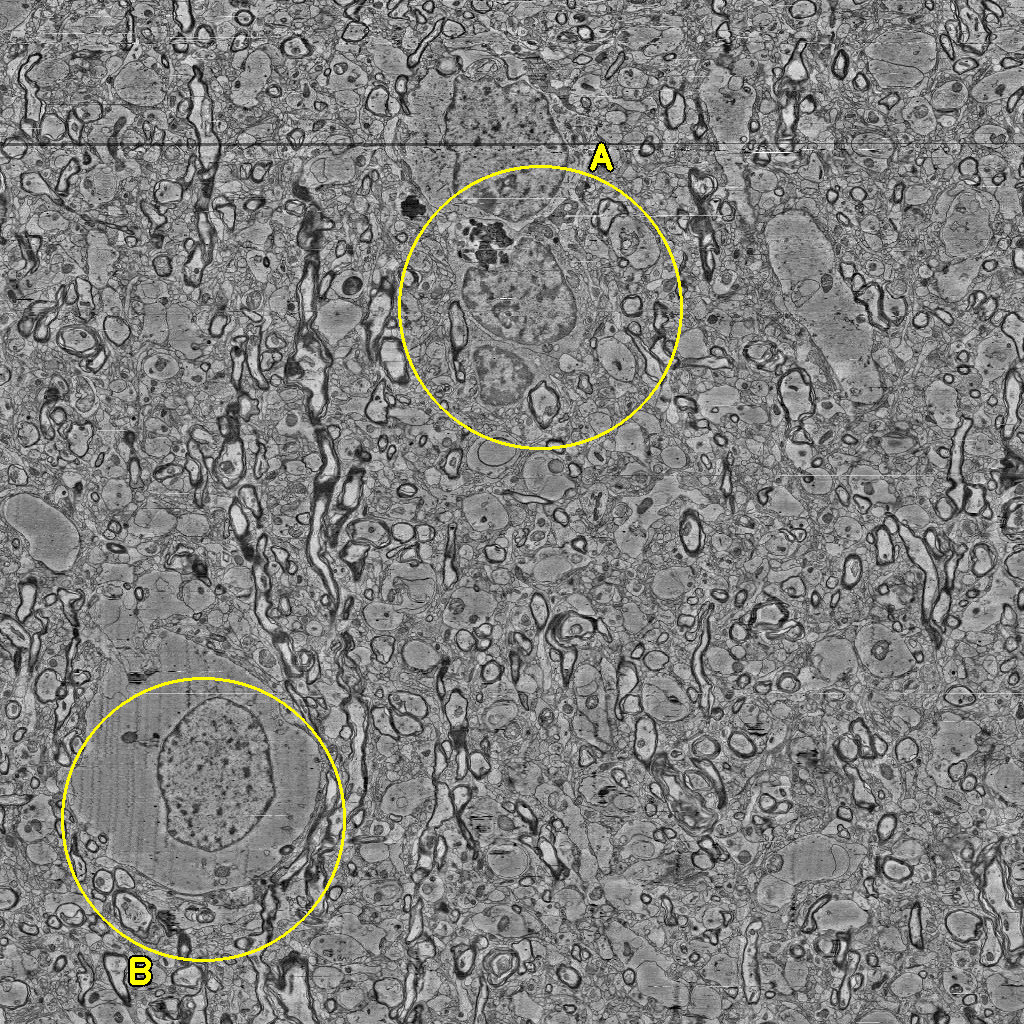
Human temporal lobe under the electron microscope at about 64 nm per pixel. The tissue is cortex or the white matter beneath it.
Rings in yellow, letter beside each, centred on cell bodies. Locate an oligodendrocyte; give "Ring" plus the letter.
Ring A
